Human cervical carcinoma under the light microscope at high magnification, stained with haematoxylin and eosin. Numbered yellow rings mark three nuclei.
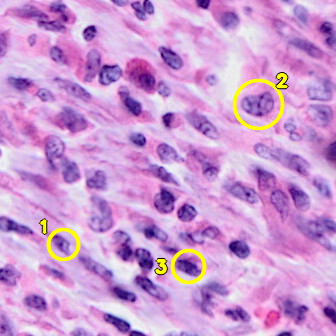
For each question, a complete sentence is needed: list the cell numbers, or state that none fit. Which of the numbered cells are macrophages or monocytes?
Cell 2 is the single numbered cell that is a macrophage or monocyte.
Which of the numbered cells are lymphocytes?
Unlike the other numbered cells, cell 3 is a lymphocyte.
